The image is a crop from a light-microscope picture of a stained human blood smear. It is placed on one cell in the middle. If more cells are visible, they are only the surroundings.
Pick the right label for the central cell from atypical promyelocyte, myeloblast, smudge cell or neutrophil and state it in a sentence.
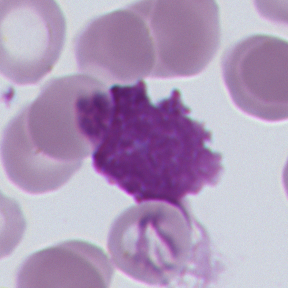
Of the cells in this crop, the central one is a smudge cell.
